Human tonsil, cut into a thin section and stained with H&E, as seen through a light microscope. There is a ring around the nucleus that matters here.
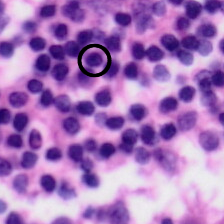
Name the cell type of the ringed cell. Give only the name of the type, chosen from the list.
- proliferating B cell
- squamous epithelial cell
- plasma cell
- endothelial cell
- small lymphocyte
small lymphocyte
